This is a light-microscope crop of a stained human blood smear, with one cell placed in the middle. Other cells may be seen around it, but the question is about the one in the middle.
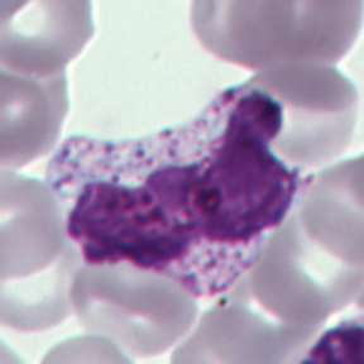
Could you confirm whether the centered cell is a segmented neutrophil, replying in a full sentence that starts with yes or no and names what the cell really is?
No, the cell in the middle is correctly named a basophil, not a segmented neutrophil.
